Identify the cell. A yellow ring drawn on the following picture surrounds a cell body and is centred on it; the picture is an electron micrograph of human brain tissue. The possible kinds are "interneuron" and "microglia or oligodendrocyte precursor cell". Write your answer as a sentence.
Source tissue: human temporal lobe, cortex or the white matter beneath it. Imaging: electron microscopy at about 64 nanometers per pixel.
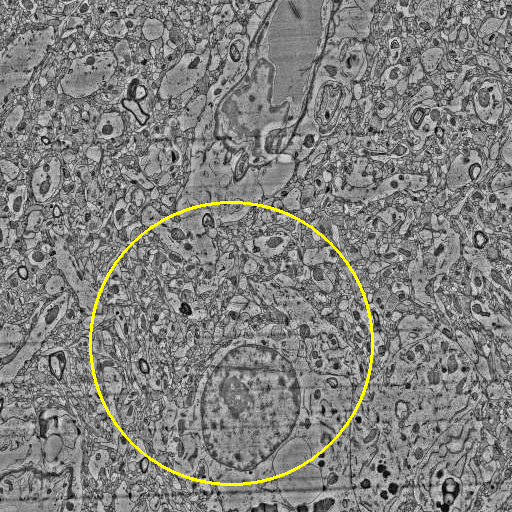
The cell identified by the ring is a microglial cell or oligodendrocyte precursor cell.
